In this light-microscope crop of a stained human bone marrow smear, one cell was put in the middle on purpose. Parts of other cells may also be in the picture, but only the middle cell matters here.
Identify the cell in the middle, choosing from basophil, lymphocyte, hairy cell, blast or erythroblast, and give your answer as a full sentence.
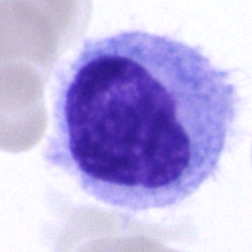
The cell the crop is centered on is a hairy cell.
